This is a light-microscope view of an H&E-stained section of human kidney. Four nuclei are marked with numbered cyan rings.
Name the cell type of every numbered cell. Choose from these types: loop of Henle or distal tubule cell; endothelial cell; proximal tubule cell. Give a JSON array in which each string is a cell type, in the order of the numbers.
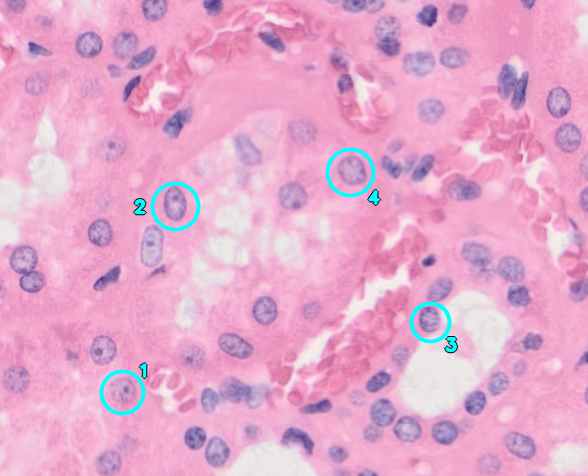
["proximal tubule cell", "proximal tubule cell", "loop of Henle or distal tubule cell", "proximal tubule cell"]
